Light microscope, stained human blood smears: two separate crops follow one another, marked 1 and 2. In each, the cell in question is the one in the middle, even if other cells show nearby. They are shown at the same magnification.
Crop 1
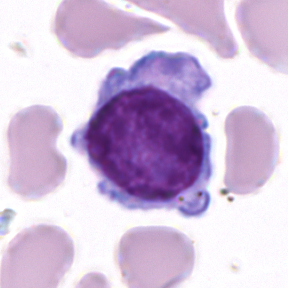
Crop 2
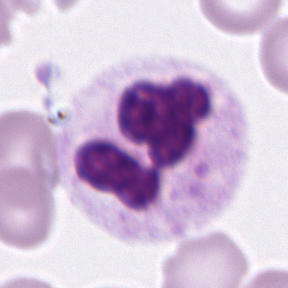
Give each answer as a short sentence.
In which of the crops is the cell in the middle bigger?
Crop 2 holds the larger cell; it covers about 1.5 times the area of the cell in crop 1.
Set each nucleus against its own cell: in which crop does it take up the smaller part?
The nucleus fills less of the cell in crop 2 than in crop 1.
